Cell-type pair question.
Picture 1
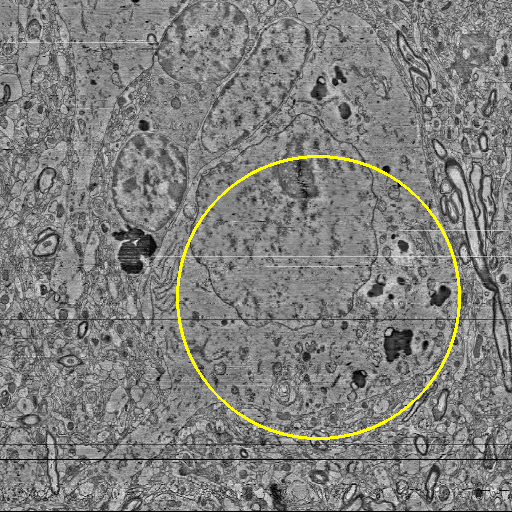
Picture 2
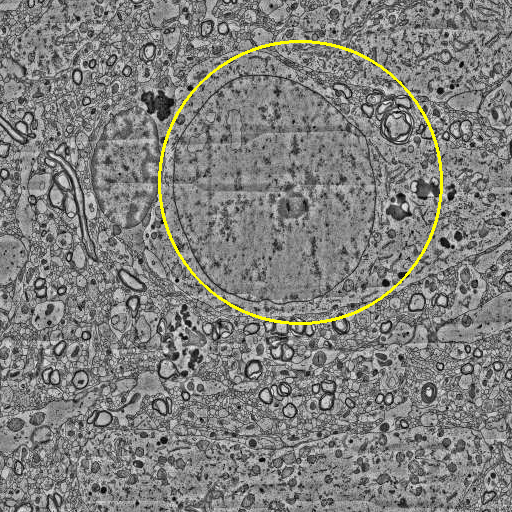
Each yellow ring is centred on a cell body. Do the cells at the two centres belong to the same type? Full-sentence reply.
Yes, the two cells belong to the same type.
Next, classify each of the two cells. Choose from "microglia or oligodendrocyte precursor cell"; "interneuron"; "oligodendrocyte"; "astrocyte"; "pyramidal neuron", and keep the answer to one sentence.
In the first picture and in the second, the ring is centred on a pyramidal neuron.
